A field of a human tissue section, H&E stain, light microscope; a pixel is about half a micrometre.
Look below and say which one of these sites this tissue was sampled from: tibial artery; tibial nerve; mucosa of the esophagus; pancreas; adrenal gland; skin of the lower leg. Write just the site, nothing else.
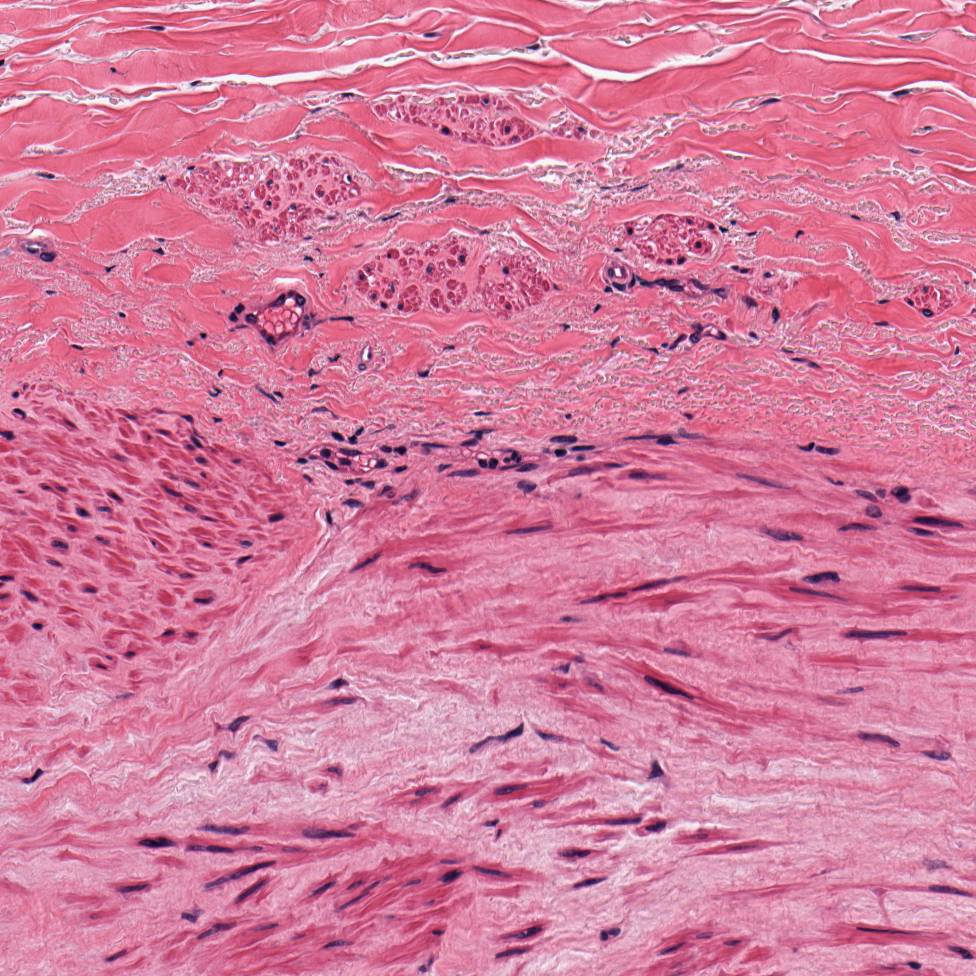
tibial artery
